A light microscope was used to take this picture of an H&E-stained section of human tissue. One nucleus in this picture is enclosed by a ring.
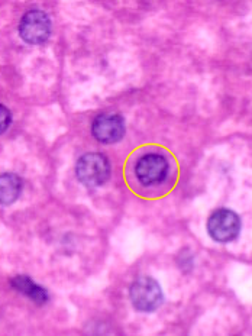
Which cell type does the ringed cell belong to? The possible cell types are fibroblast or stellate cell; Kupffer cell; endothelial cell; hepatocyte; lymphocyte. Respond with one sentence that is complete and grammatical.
In terms of identity, the ringed cell is a hepatocyte.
